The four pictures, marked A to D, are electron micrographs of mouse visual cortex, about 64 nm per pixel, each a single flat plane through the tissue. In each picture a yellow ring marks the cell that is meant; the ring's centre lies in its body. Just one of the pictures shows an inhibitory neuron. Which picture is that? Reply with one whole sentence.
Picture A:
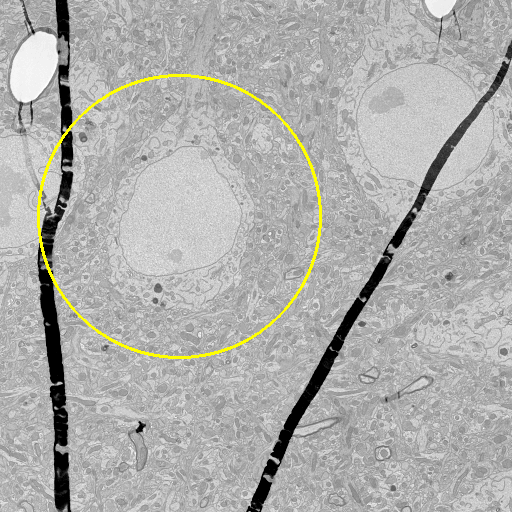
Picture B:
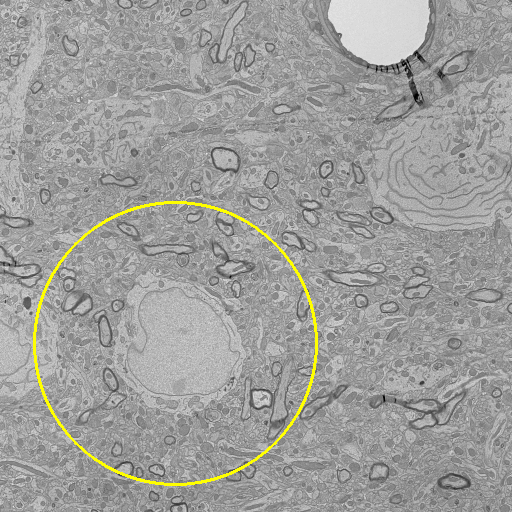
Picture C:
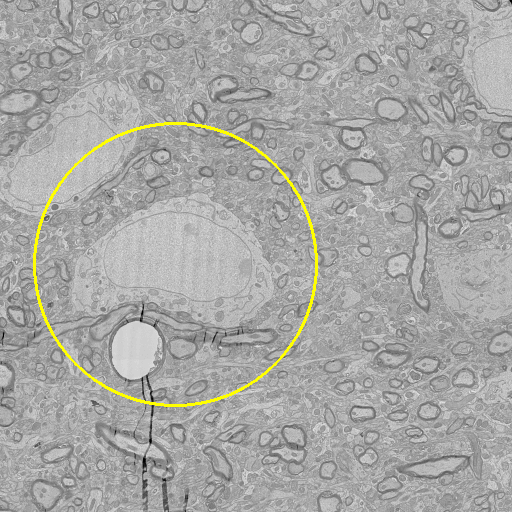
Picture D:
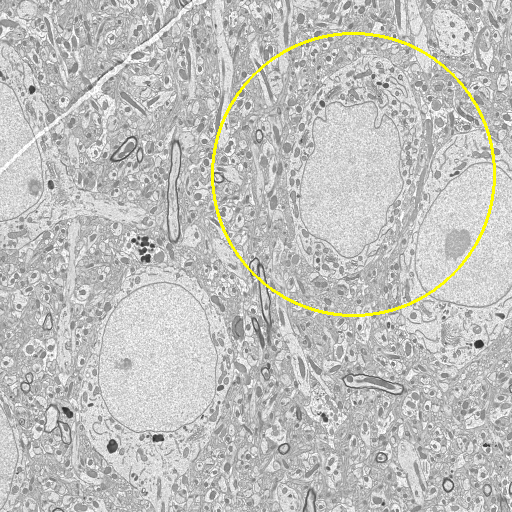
The inhibitory neuron is the one in picture D.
